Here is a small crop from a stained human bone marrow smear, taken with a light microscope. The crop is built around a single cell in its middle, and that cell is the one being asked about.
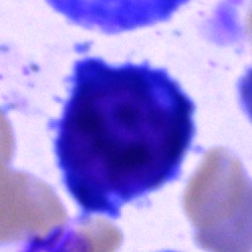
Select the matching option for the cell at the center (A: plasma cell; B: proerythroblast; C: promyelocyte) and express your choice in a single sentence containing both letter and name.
Option B is the right one, for the cell in the middle is a proerythroblast.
